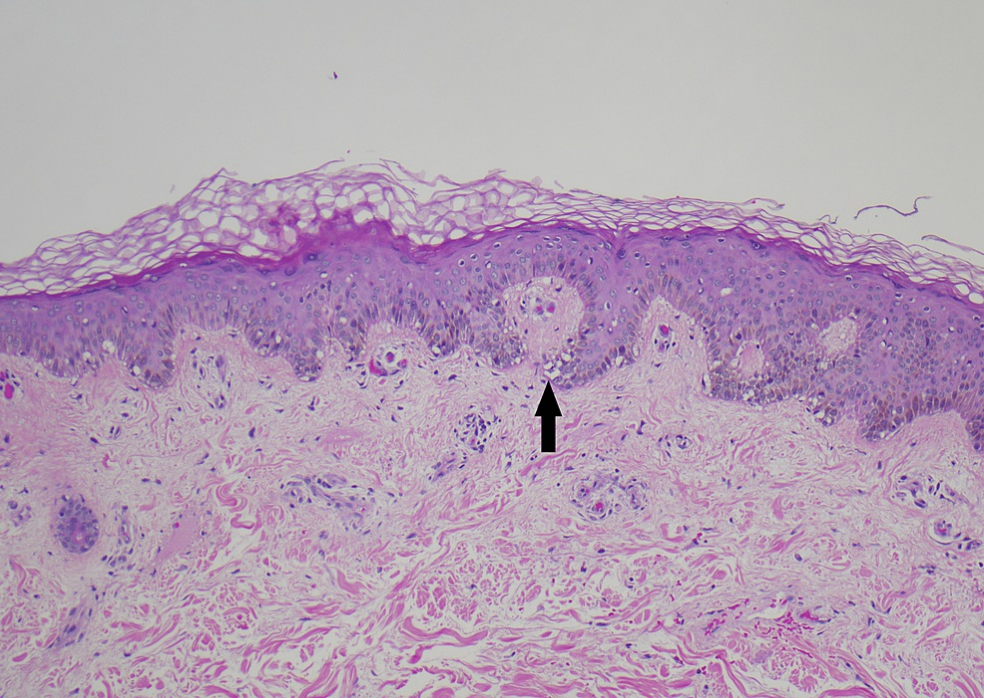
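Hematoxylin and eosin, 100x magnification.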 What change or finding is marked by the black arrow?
Basovacular changes.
